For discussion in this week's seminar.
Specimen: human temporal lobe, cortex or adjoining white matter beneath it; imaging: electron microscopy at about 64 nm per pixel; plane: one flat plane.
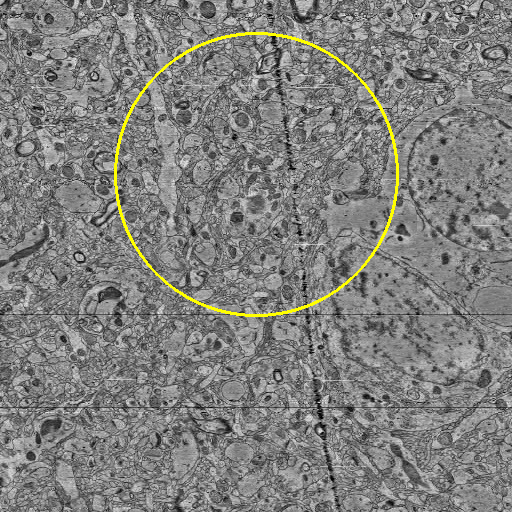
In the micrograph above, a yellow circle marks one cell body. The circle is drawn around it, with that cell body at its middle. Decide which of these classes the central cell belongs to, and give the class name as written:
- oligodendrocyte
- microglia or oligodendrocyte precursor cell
microglia or oligodendrocyte precursor cell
